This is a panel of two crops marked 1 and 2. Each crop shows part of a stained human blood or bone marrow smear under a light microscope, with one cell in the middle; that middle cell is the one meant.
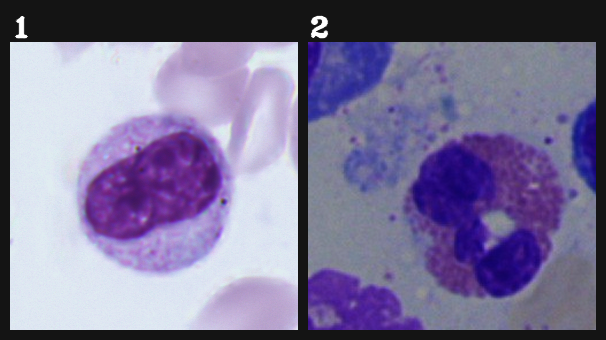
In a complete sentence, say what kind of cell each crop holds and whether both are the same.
No, a metamyelocyte is the cell in crop 1; an eosinophil is the cell in crop 2.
